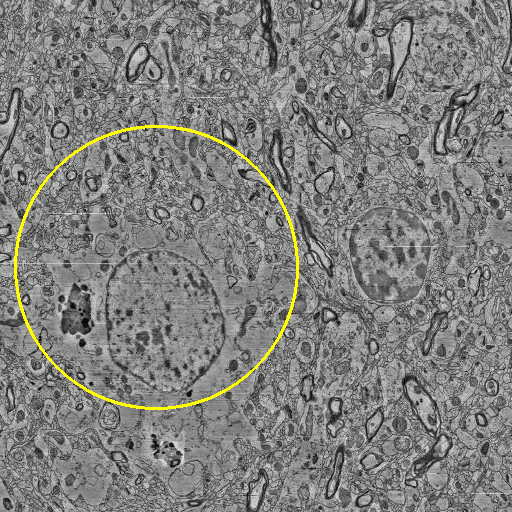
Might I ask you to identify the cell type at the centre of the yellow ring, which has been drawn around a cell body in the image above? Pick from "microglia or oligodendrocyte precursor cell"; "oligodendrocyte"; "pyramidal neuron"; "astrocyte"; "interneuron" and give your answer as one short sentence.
The centre of the ring falls on an astrocyte.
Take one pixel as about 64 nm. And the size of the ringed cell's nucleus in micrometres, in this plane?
The nucleus appears roughly 10 by 8 micrometres in this plane.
